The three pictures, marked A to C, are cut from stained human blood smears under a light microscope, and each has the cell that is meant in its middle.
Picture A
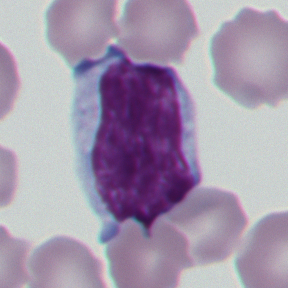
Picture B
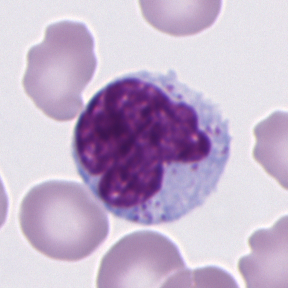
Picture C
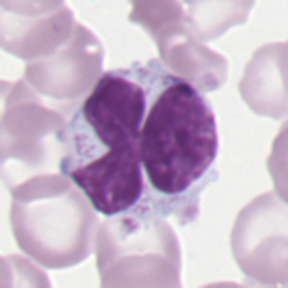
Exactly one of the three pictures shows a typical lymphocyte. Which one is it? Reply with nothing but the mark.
A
